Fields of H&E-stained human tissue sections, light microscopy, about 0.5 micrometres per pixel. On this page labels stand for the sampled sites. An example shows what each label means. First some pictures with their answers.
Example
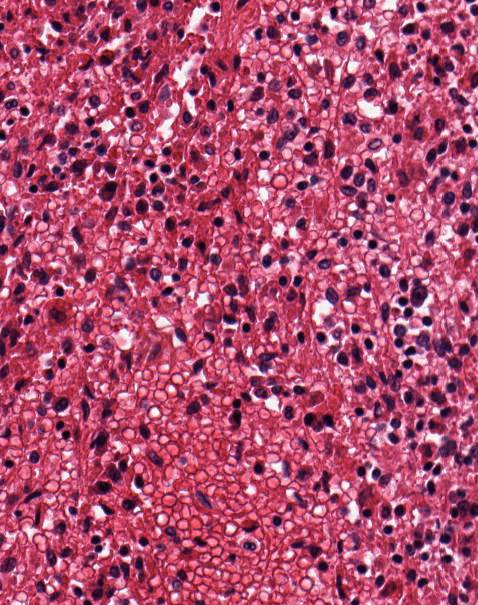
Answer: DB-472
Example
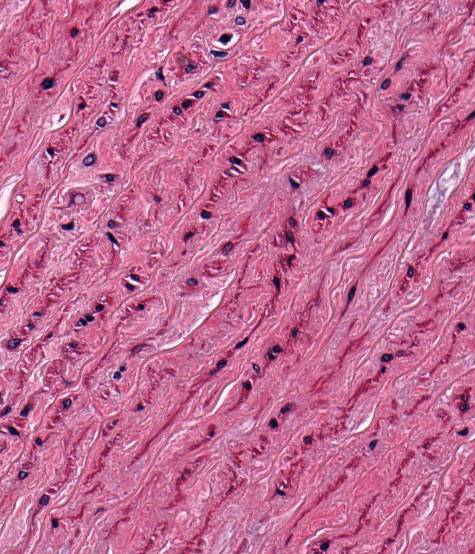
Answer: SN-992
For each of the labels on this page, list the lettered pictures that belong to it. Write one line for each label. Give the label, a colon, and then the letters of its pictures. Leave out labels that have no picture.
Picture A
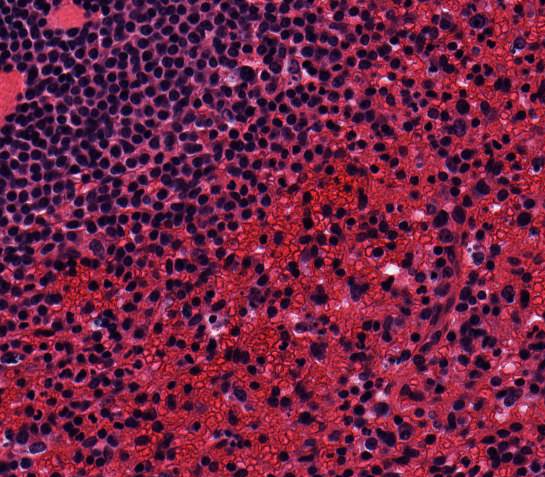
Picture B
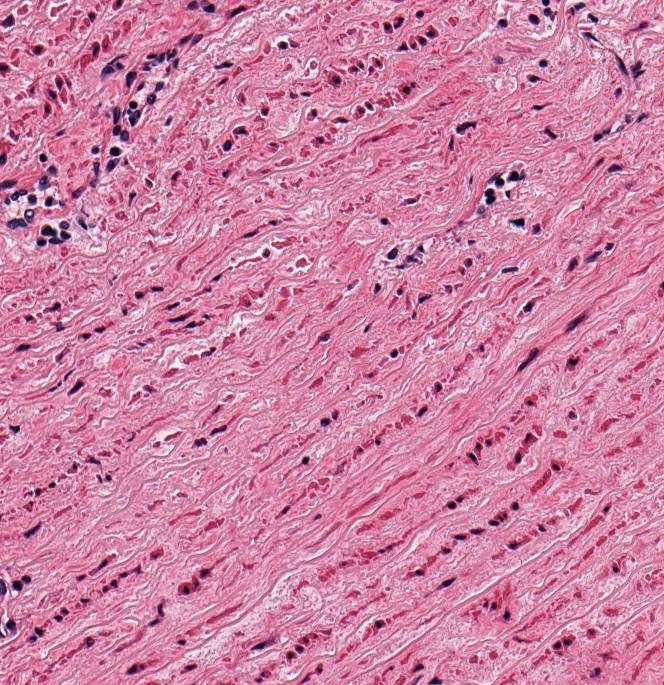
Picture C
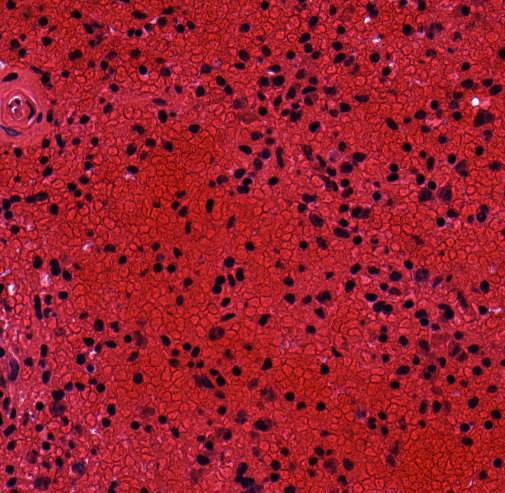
DB-472: A, C
SN-992: B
